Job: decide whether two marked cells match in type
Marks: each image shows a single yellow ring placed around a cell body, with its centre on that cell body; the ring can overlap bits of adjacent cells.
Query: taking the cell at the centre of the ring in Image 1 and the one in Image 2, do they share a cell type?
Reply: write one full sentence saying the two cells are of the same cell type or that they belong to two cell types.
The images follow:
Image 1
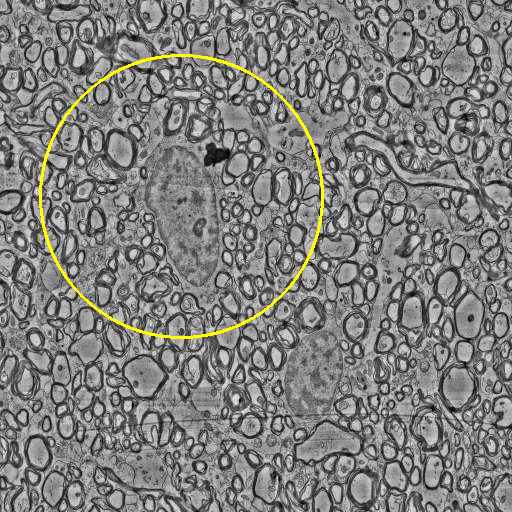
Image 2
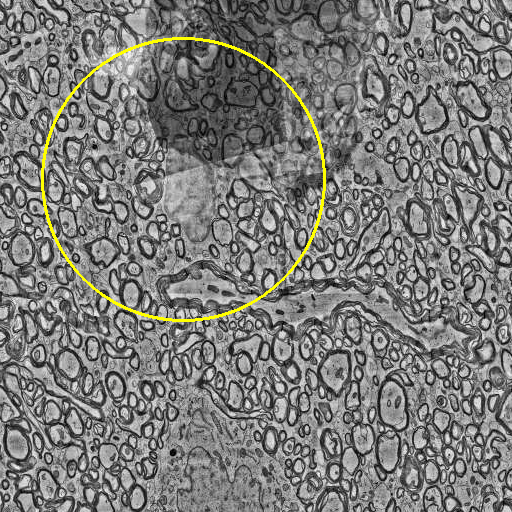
The cells at the ring centres in Image 1 and Image 2 are of the same cell type.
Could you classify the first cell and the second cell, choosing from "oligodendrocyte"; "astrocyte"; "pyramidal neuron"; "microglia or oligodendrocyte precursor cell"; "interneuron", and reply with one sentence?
The ring centre holds an oligodendrocyte in each of the two pictures.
